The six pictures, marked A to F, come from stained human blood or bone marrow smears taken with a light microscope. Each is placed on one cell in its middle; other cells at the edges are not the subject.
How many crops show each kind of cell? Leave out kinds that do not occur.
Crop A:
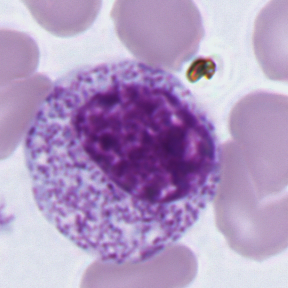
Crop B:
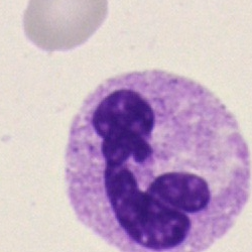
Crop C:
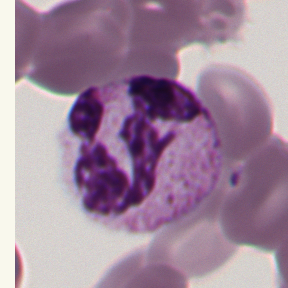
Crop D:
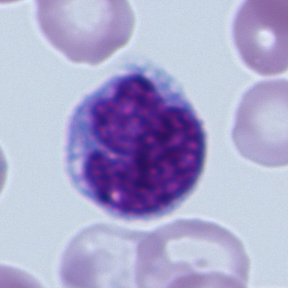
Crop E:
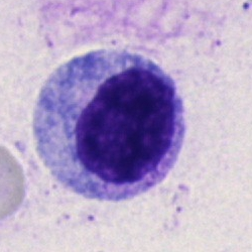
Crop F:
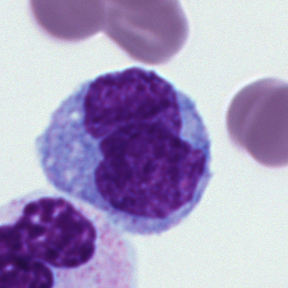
myelocyte: 2
segmented neutrophil: 2
monocyte: 2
